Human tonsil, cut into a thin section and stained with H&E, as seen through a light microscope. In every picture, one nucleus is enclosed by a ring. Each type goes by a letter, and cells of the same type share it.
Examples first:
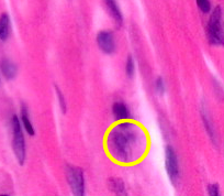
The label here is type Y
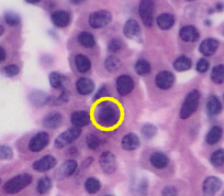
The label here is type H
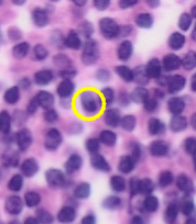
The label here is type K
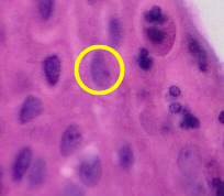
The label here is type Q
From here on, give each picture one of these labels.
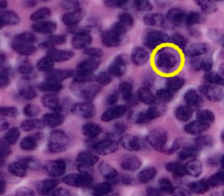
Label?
type K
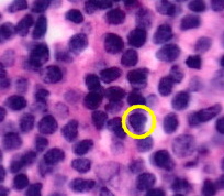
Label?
type K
